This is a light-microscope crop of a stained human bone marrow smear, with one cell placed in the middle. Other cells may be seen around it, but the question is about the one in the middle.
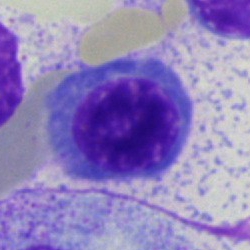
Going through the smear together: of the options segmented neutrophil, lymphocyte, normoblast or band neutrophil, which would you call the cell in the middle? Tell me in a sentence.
The cell at the heart of this crop is a normoblast.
